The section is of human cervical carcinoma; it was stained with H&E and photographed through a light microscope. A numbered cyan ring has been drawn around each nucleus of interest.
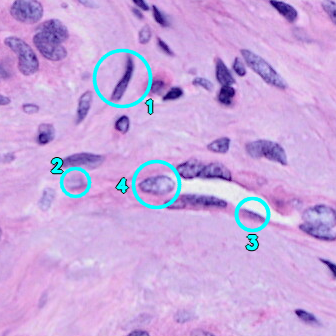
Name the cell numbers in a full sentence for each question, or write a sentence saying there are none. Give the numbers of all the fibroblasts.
The numbered cell that is a fibroblast is cell 1, and it is the only one.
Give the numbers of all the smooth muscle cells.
Only number 2 is a smooth muscle cell; none of the others are.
